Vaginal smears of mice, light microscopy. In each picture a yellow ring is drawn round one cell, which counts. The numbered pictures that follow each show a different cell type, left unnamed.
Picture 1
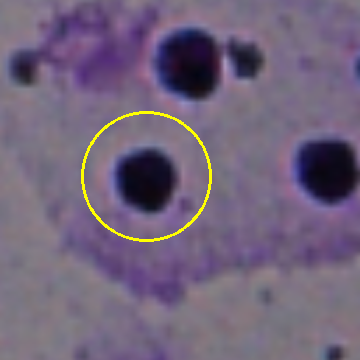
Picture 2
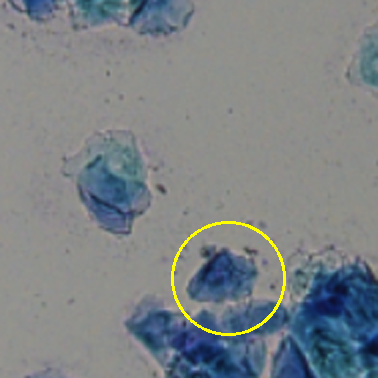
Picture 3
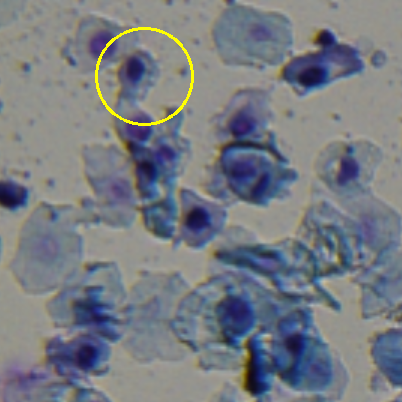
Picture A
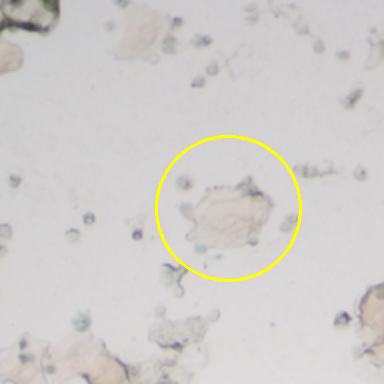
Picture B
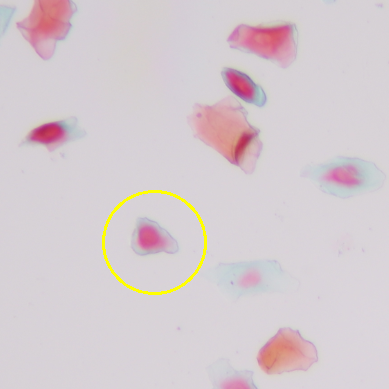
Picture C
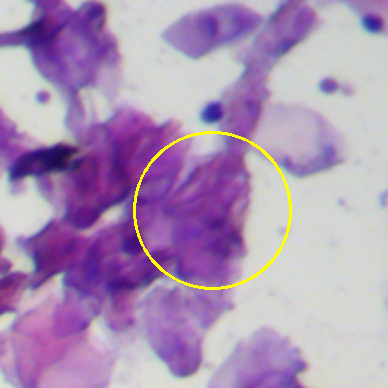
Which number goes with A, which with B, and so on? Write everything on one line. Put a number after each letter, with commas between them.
A 2, B 3, C 2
